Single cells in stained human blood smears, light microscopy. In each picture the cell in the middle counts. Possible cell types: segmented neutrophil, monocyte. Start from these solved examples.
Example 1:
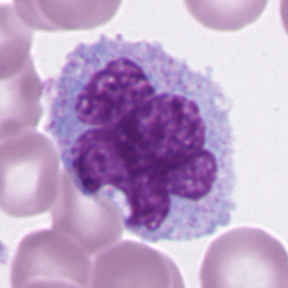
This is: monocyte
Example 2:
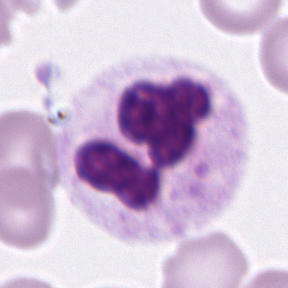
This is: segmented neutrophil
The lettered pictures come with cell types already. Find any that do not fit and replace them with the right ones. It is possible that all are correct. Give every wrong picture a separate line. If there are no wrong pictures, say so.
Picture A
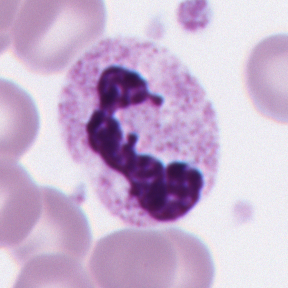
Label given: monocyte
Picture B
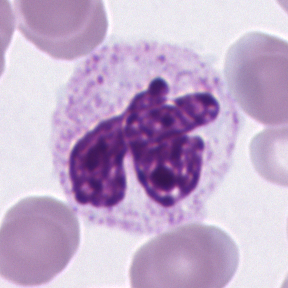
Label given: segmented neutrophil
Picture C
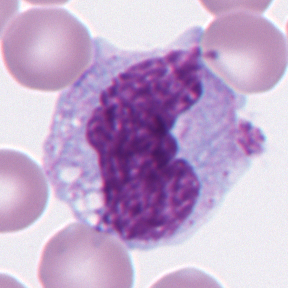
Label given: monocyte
Wrong: A (monocyte); correct: segmented neutrophil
